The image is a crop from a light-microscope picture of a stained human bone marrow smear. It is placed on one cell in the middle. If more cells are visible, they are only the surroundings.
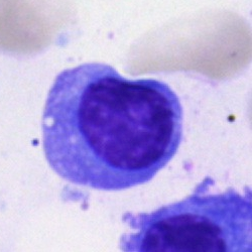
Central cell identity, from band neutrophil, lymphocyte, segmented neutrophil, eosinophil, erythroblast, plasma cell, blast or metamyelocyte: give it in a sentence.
In the crop, the cell of interest at the centre is a plasma cell.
